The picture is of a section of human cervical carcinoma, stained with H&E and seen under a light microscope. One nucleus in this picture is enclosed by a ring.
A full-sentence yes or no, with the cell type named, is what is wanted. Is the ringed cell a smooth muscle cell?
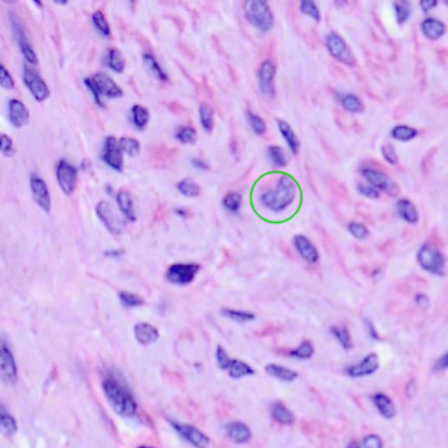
Yes, in this field of view, the ringed cell is a smooth muscle cell.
